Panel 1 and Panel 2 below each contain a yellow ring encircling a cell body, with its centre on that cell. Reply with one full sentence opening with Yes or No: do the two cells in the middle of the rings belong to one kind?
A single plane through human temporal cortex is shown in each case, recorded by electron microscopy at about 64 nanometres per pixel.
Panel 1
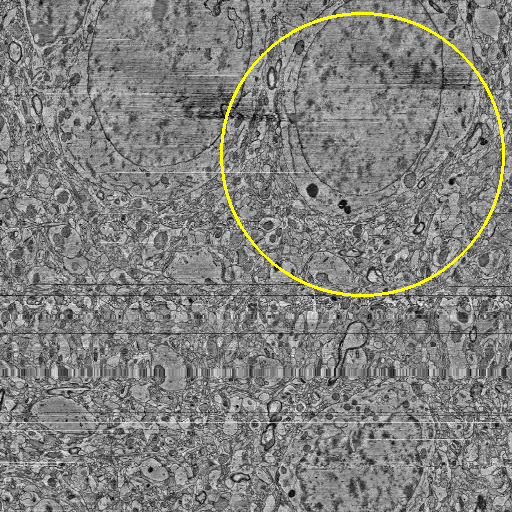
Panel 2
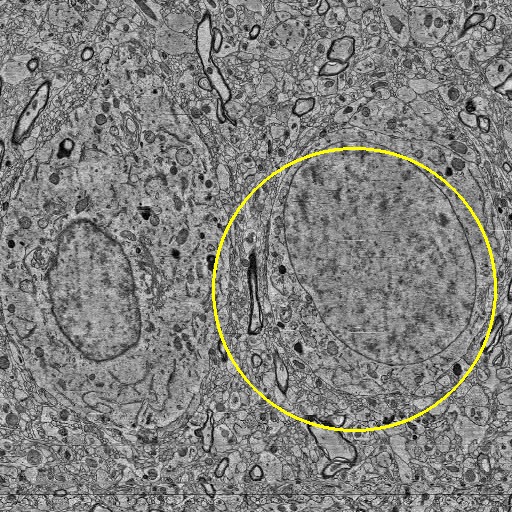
Yes, the cells at the middle of the Panel 1 ring and the Panel 2 ring are of one kind.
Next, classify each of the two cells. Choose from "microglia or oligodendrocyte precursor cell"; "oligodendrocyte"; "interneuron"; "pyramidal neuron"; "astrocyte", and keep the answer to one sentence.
The ring centre holds a pyramidal neuron in each of the two pictures.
